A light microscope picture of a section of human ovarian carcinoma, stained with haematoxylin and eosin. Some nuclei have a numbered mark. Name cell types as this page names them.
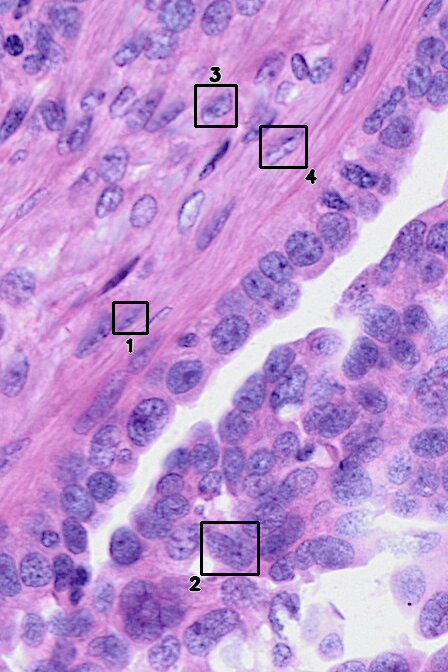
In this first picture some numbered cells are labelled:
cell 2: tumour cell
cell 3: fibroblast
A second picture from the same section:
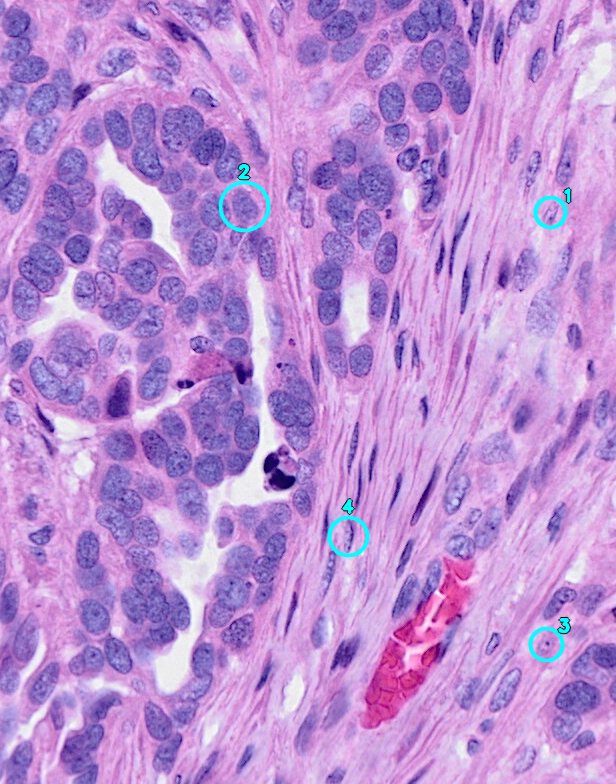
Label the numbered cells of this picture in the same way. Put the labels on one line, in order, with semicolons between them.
fibroblast; tumour cell; fibroblast; fibroblast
